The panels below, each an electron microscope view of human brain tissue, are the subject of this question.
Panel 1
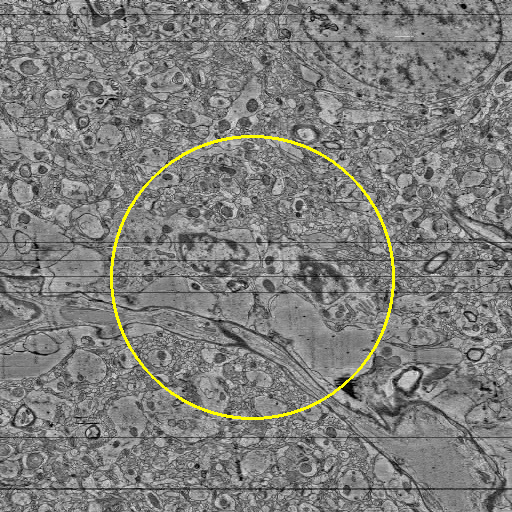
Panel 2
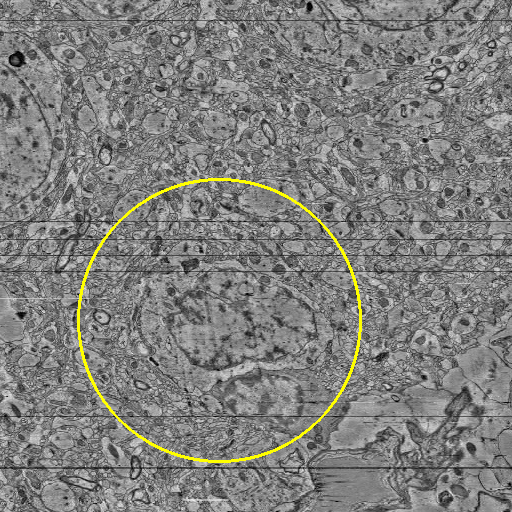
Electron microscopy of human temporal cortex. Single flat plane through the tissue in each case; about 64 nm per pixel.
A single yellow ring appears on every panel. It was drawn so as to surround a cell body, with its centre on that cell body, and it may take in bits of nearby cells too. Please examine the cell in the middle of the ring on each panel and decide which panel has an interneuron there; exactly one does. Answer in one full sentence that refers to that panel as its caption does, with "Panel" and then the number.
Panel 2 is where the ring's central cell answers the question.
